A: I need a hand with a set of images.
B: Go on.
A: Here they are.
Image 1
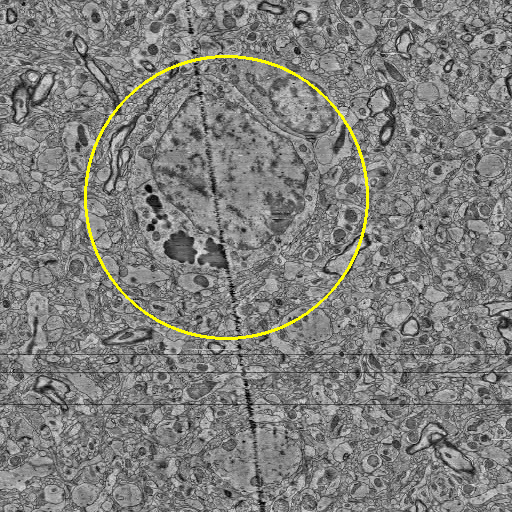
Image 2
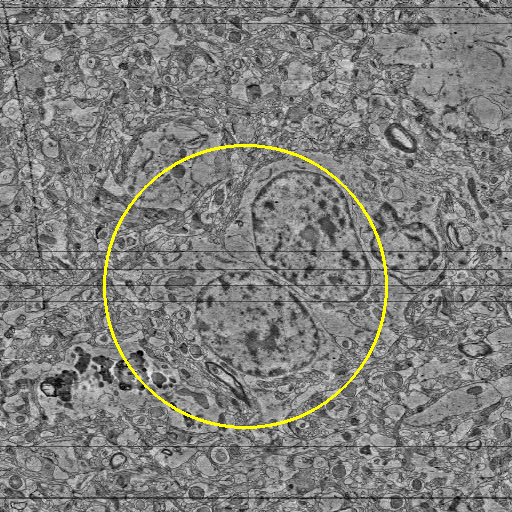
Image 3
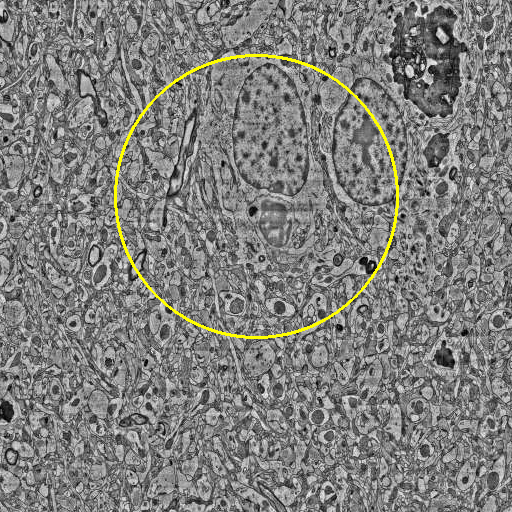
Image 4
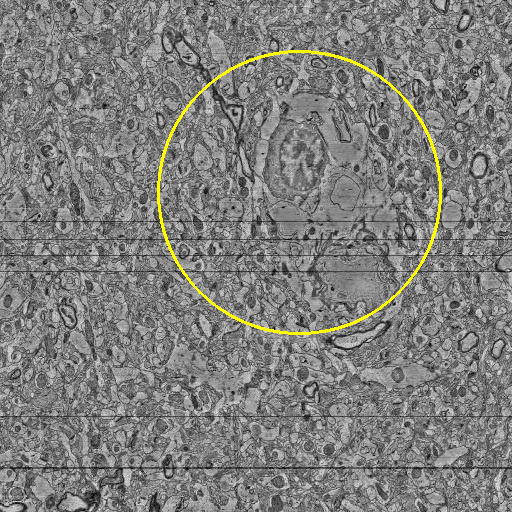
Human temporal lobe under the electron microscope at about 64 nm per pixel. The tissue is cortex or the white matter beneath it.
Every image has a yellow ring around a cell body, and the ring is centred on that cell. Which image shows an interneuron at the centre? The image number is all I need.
1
